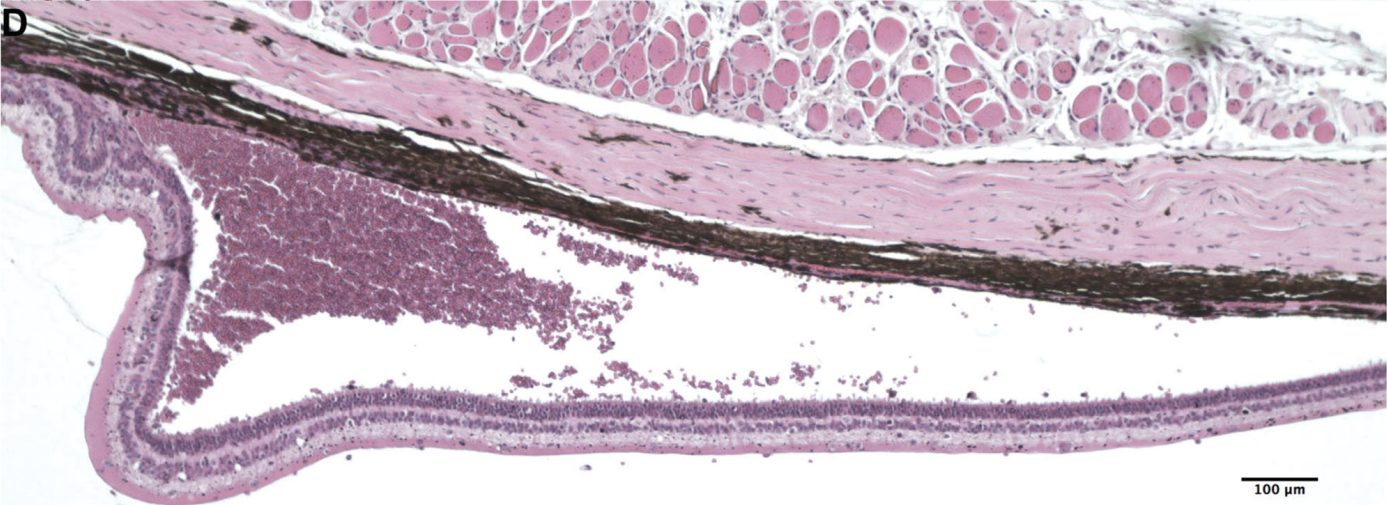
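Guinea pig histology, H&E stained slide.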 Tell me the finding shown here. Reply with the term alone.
Subretinal hemorrhage.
